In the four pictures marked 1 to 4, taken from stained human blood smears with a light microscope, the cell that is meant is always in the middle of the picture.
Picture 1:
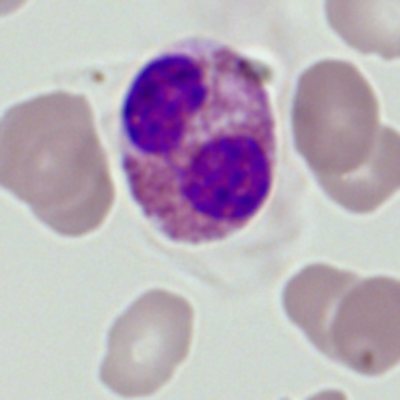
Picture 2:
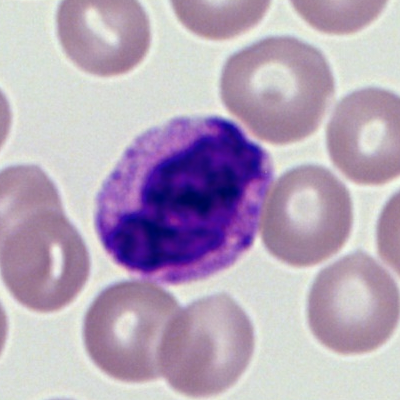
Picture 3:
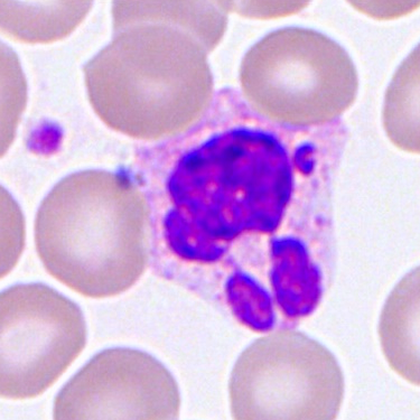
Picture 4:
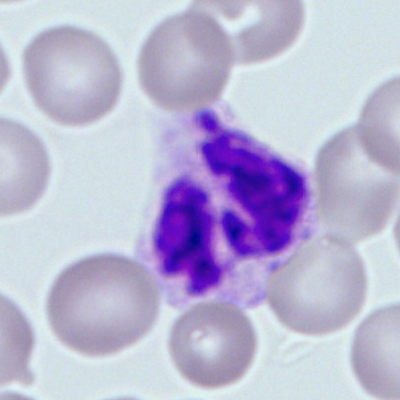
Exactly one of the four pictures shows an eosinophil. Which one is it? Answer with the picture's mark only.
1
